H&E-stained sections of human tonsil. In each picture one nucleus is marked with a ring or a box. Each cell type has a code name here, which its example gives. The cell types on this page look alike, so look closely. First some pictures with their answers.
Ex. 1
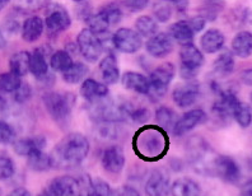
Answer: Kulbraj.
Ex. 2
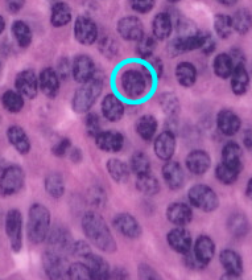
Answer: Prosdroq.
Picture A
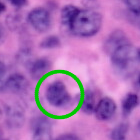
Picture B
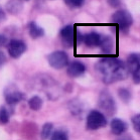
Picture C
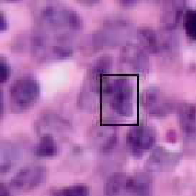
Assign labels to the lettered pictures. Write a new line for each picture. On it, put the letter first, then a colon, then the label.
A: Kulbraj.
B: Kulbraj.
C: Kulbraj.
